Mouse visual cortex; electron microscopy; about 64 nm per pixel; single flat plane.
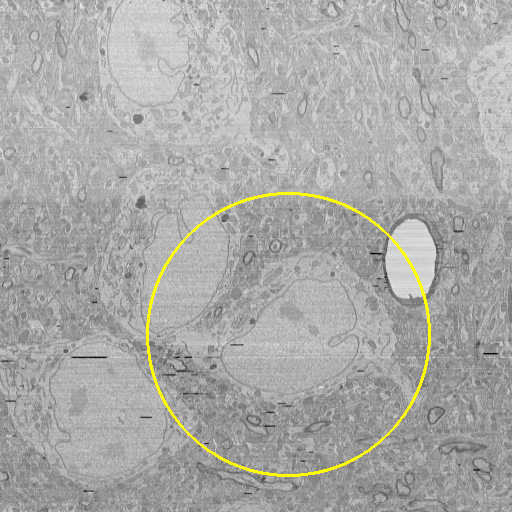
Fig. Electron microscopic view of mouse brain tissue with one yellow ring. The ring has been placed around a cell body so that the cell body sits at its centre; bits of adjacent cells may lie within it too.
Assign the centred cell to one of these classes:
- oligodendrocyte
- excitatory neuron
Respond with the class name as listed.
excitatory neuron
